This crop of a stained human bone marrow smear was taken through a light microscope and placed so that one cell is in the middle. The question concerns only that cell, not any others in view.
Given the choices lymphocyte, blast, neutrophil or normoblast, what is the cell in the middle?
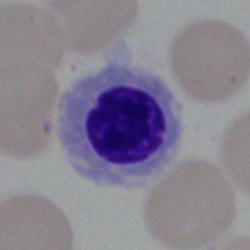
normoblast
